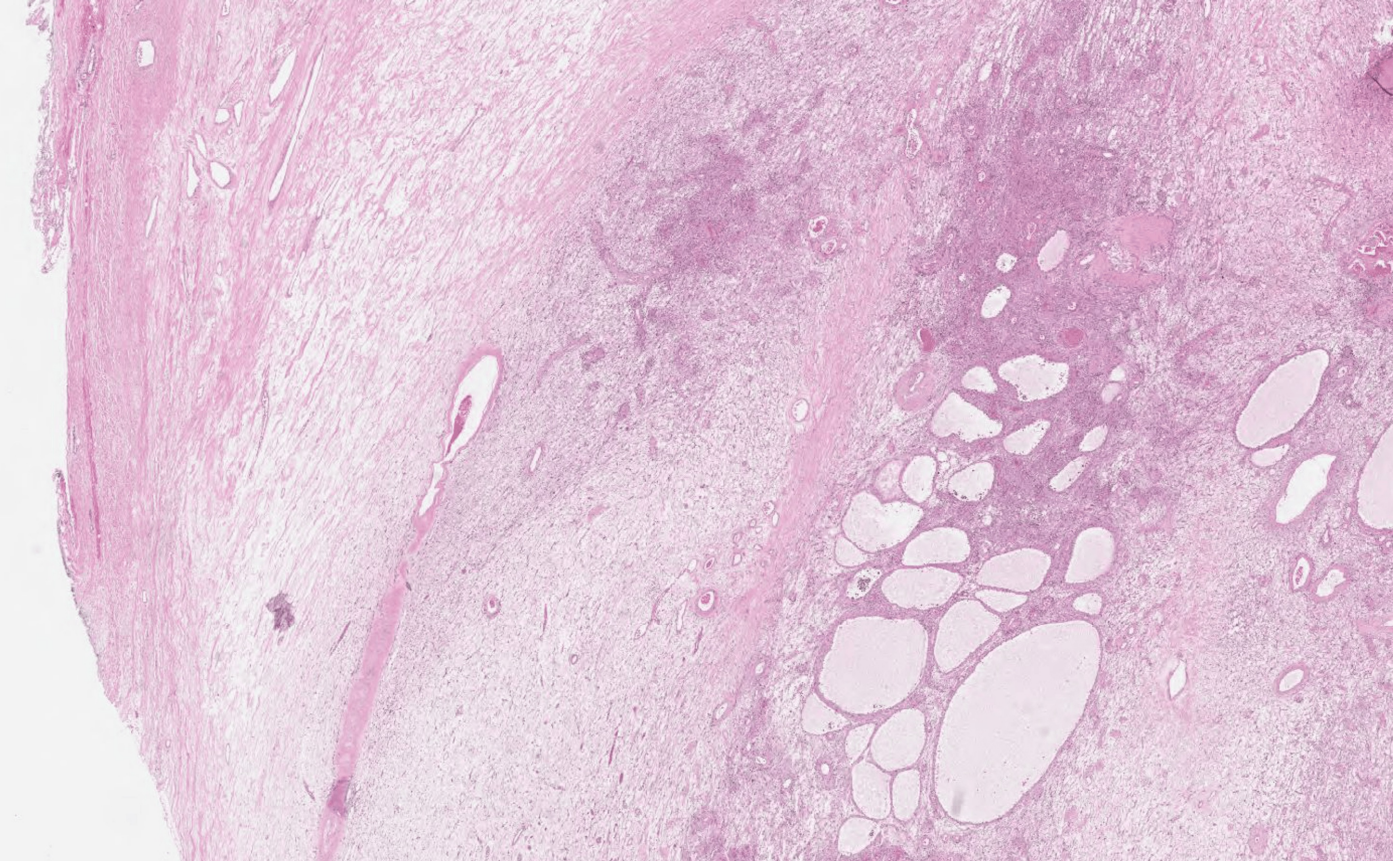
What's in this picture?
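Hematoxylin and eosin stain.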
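At low magnification, this is a proliferation made of pale, loosely textured hypocellular zones that alternate with denser, more purple hypercellular zones, bordered on the left by a band of dense pink fibrous tissue. In the right half, a focal cluster of round cystic spaces of varying size, filled with pale pink material and separated by thin cellular septa, gives a microcystic look.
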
